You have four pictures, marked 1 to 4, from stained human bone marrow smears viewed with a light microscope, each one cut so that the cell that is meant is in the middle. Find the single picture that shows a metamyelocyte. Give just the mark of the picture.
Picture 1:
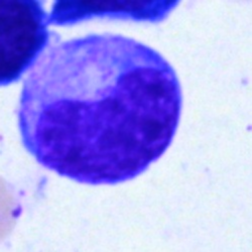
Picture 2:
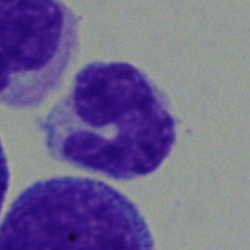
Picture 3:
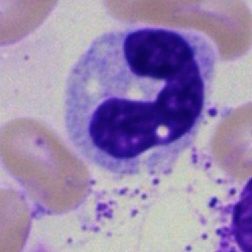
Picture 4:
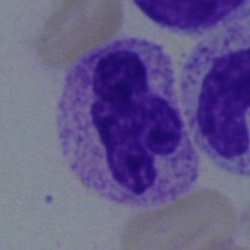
1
